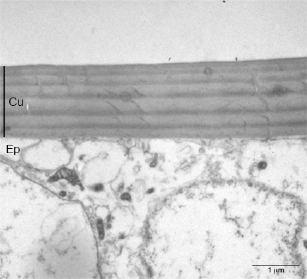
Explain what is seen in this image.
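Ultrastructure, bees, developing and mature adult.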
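Insect integument in section, with a band of cuticle lying over the underlying epidermis. The cuticle is a uniform grey band of even thickness made of several parallel horizontal lamellae. Its lower edge meets the epidermis along a straight line. Beneath it the epidermis is pale, with thin membranes outlining cell compartments and scattered small dark granules and vesicles in the cytoplasm.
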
